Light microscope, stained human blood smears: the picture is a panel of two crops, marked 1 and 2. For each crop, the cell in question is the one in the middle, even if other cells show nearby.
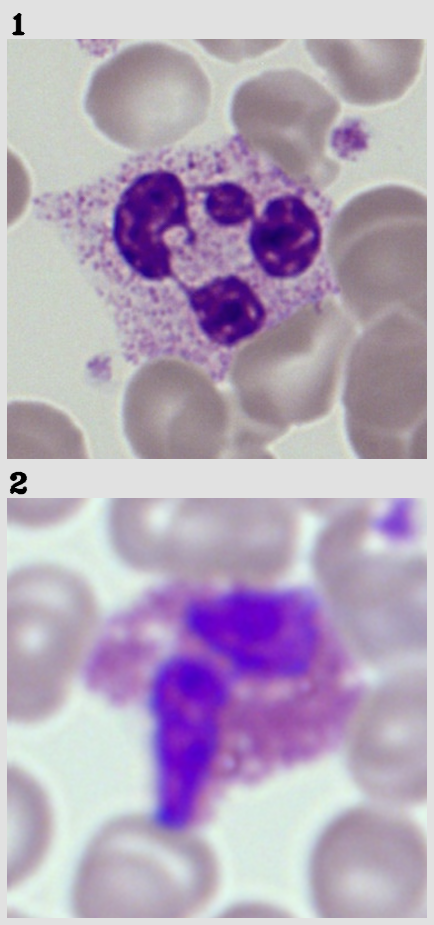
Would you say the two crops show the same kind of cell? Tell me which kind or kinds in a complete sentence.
No, crop 1 shows a segmented neutrophil, whereas an eosinophil is what crop 2 shows.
